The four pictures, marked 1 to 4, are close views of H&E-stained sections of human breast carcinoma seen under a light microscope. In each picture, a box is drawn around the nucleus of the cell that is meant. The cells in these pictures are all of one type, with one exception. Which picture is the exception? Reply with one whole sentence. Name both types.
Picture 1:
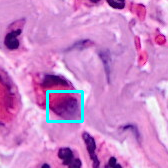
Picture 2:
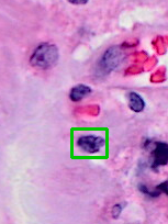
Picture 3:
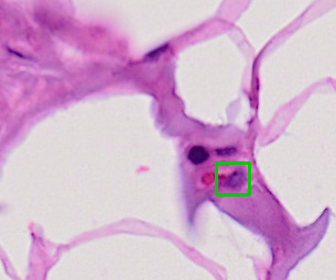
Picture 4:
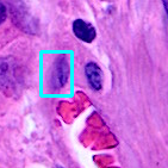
Unlike the rest, which show endothelial cells, picture 2 shows a lymphocyte.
